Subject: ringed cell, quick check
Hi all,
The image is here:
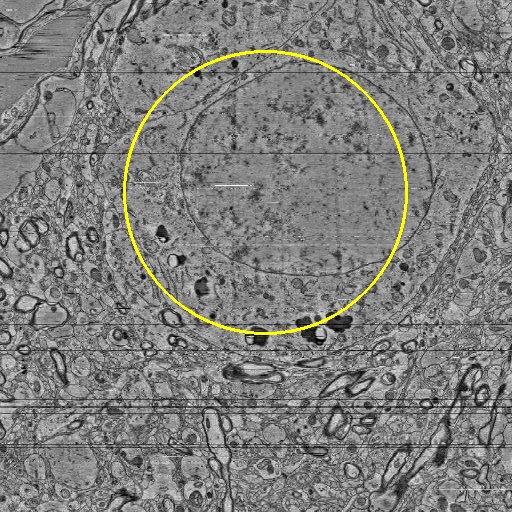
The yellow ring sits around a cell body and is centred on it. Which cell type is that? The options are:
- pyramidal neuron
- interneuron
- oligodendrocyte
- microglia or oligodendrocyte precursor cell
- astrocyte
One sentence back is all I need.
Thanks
That ringed cell is a pyramidal neuron.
